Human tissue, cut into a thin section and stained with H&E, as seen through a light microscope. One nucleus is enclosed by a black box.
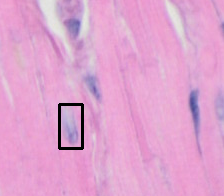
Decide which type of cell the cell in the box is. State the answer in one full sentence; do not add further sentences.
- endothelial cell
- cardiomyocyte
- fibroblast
In this field of tissue, the cell in the box is a cardiomyocyte.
